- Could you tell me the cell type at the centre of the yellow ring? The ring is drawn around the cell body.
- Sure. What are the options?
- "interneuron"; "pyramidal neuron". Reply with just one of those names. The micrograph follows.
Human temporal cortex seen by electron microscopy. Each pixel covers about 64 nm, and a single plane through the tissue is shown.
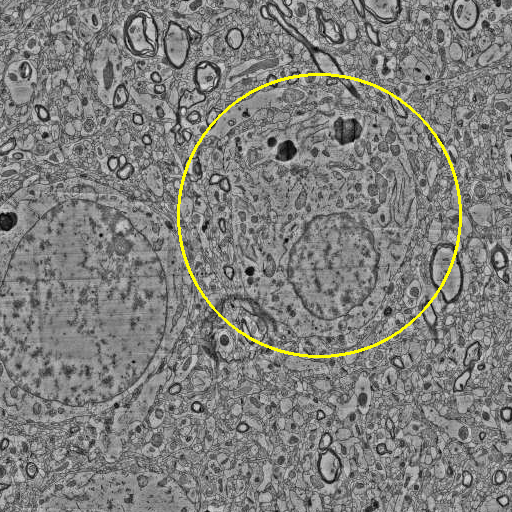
interneuron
